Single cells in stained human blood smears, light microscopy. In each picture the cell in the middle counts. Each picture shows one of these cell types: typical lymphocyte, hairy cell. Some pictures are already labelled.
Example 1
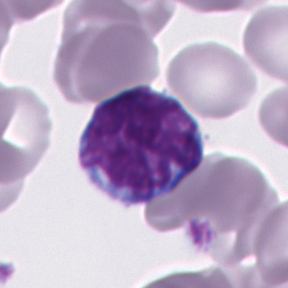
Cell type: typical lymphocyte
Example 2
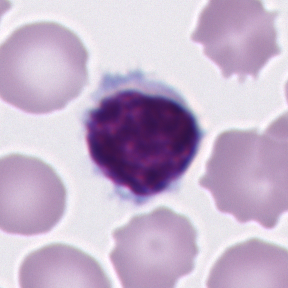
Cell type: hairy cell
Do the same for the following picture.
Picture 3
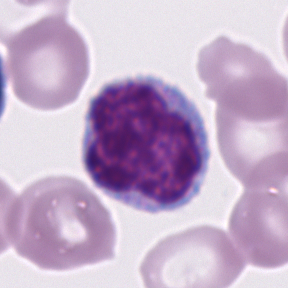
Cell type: typical lymphocyte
